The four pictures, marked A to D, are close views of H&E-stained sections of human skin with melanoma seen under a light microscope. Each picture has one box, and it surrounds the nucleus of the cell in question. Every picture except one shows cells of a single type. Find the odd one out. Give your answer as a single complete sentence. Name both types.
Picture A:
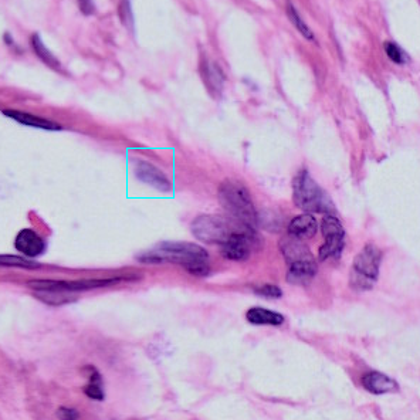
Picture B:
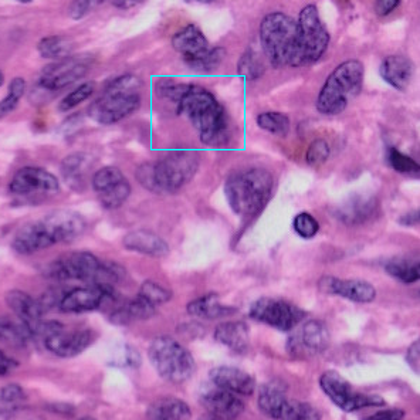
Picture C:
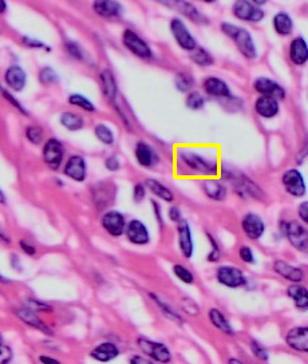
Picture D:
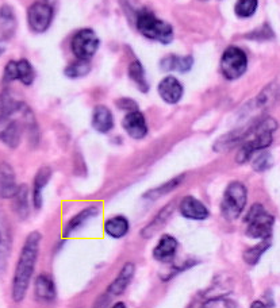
The others show endothelial cells, but picture B shows a melanoma cell.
